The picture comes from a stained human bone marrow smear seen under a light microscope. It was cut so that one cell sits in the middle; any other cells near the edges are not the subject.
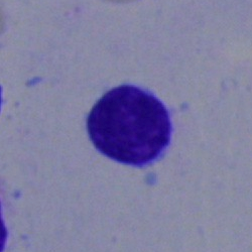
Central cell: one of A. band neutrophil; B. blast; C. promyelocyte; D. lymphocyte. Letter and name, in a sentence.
The cell right in the middle is a lymphocyte, so option D is the one.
